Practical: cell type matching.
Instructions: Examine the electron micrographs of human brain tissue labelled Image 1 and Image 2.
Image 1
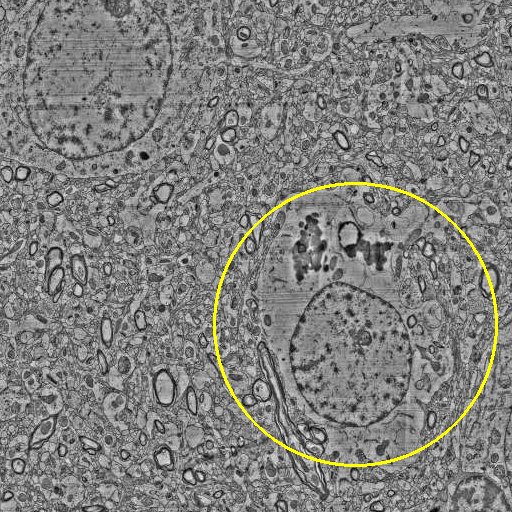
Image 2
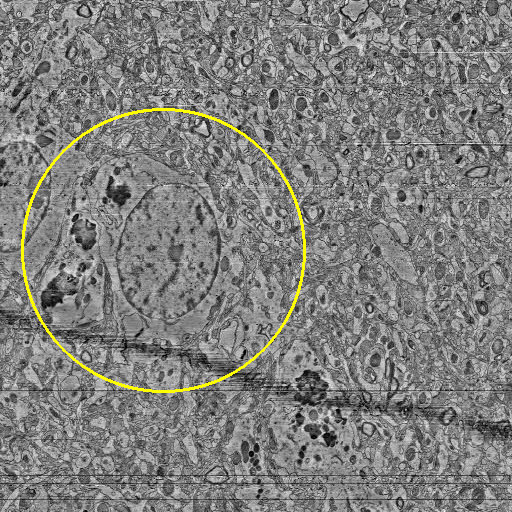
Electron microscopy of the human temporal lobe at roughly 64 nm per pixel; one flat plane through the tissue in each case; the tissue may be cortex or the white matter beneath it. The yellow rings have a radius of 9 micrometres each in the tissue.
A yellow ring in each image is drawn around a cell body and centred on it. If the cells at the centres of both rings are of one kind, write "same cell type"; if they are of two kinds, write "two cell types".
same cell type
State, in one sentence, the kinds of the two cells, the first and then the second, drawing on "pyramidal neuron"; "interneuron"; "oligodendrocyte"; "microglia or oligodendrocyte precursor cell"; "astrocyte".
Both rings mark an astrocyte, one in each picture.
